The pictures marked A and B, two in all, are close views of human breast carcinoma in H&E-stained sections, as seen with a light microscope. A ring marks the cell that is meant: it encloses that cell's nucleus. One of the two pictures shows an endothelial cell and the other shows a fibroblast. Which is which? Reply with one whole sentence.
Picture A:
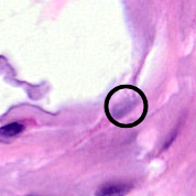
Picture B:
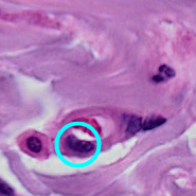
It is picture A that shows a fibroblast, and picture B that shows an endothelial cell.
